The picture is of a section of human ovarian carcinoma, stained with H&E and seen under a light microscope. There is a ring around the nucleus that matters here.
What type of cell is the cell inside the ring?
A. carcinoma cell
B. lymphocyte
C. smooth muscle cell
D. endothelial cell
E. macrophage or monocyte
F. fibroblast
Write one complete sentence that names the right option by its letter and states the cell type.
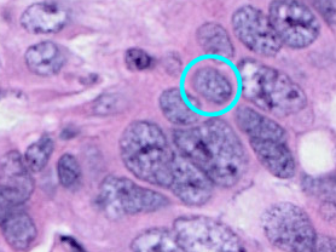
Since the cell inside the ring is a carcinoma cell, the right option is A.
